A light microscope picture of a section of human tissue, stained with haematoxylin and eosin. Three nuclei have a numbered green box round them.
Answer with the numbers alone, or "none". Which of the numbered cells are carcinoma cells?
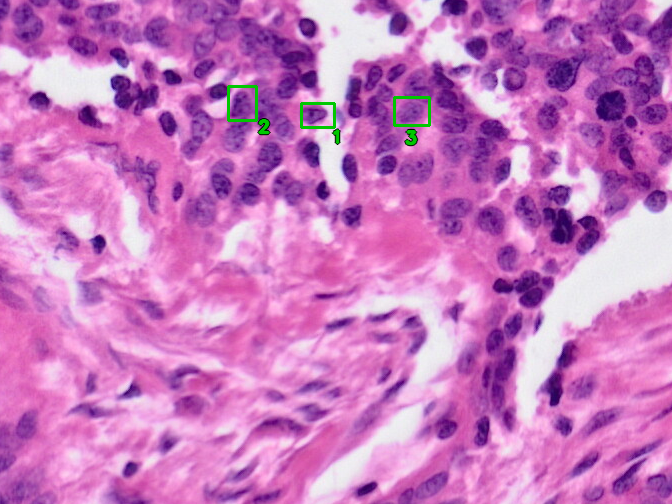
2, 3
